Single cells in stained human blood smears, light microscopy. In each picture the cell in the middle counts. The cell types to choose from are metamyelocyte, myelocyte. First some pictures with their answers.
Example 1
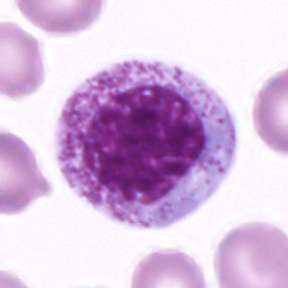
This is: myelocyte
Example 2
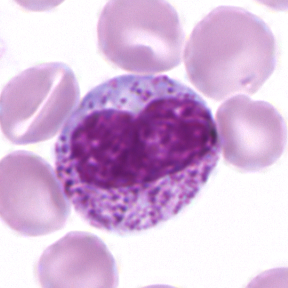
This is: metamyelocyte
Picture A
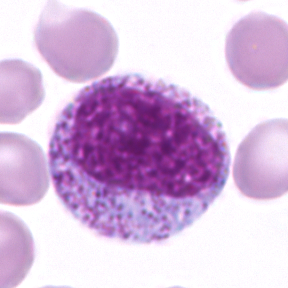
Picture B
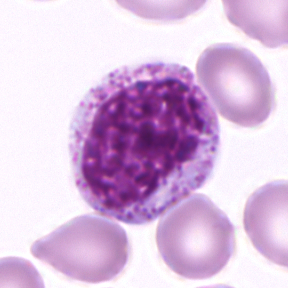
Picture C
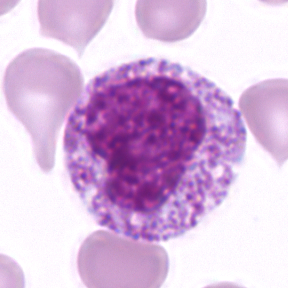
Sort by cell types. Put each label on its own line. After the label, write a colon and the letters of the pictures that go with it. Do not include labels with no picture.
metamyelocyte: B
myelocyte: A, C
